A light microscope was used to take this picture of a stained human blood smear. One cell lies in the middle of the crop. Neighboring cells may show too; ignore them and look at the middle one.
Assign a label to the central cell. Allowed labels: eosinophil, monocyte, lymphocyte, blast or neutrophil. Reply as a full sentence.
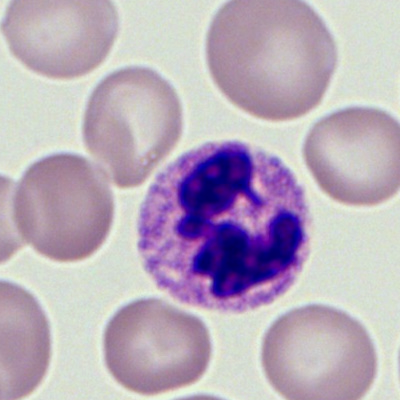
The cell featured at the centre of this crop is a neutrophil.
